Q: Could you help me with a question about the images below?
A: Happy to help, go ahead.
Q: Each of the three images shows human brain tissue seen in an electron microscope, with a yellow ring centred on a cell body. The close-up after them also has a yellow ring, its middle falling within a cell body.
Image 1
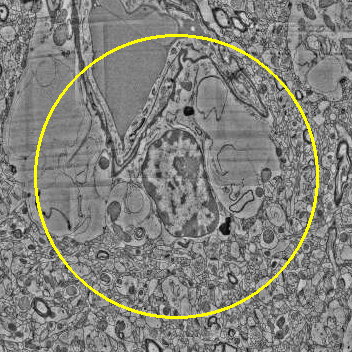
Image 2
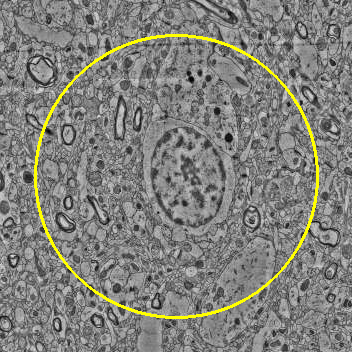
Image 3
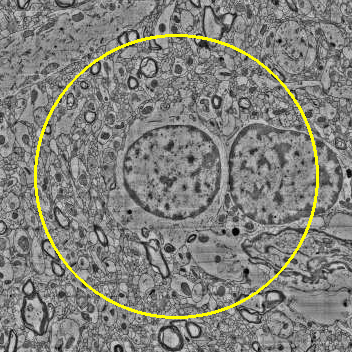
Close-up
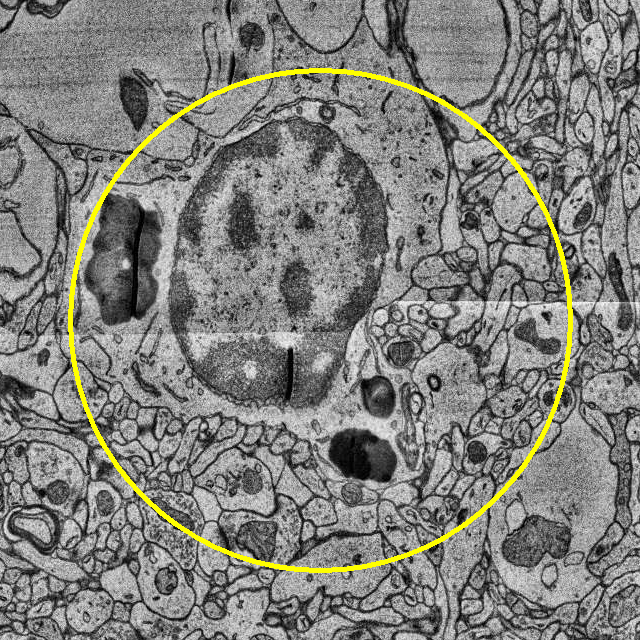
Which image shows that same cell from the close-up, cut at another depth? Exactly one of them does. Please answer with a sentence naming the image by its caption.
The enlarged view corresponds to the cell ringed in Image 1.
